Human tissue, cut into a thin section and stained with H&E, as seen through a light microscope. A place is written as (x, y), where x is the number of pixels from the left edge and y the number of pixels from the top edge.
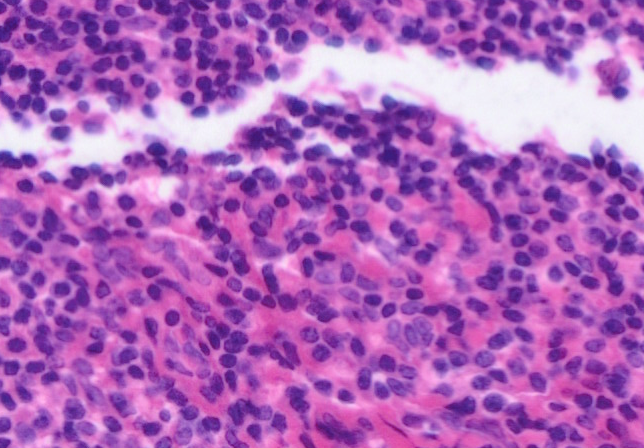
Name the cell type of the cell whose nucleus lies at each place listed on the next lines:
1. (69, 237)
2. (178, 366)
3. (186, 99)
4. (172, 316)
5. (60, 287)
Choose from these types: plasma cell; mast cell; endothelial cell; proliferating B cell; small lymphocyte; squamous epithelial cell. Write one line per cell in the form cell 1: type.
cell 1: endothelial cell
cell 2: endothelial cell
cell 3: small lymphocyte
cell 4: endothelial cell
cell 5: small lymphocyte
